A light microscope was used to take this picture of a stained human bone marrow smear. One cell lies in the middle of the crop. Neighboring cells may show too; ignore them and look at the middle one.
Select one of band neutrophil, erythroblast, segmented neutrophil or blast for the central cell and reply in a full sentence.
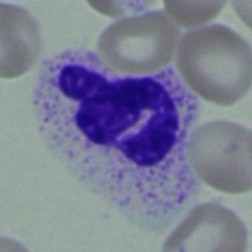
In the centre of this crop there is a segmented neutrophil.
